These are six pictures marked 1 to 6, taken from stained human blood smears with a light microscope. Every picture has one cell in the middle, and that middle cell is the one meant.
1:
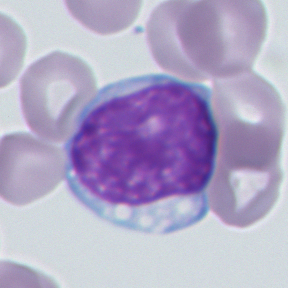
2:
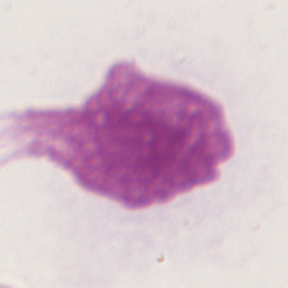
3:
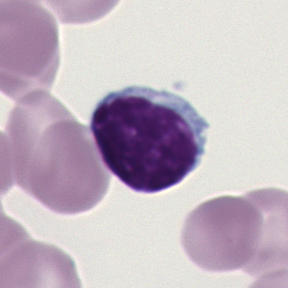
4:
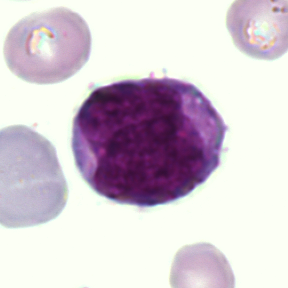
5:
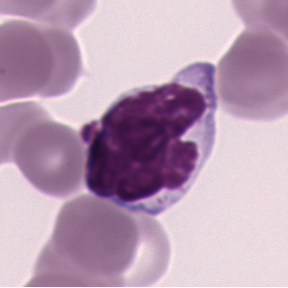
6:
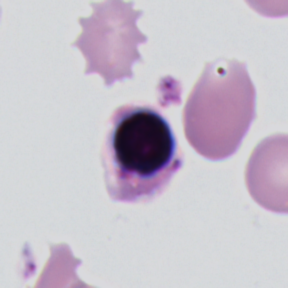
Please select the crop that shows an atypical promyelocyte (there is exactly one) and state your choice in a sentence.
The crop carrying an atypical promyelocyte at the center is crop 4.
